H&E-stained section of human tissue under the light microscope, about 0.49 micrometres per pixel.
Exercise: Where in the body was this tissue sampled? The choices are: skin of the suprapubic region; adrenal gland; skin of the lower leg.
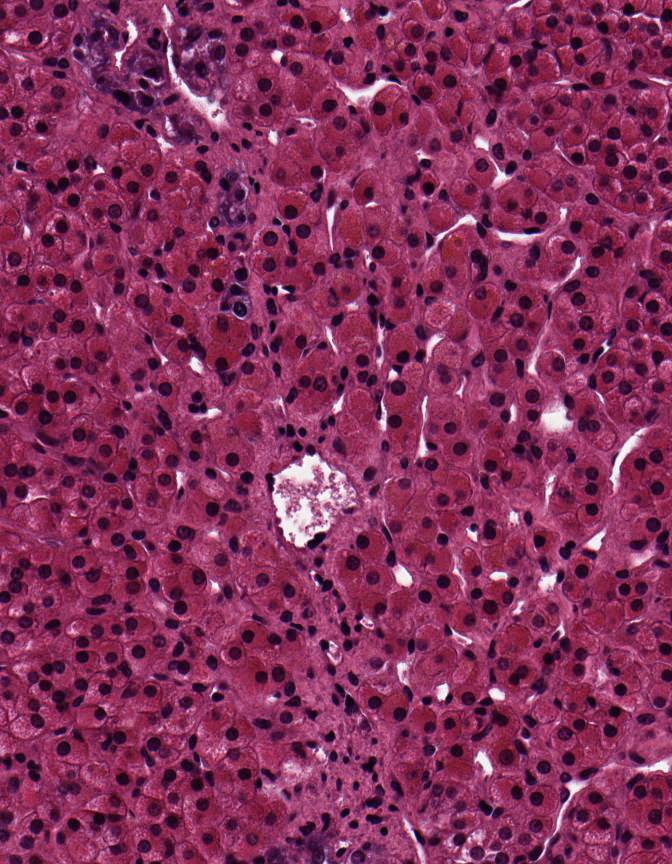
adrenal gland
